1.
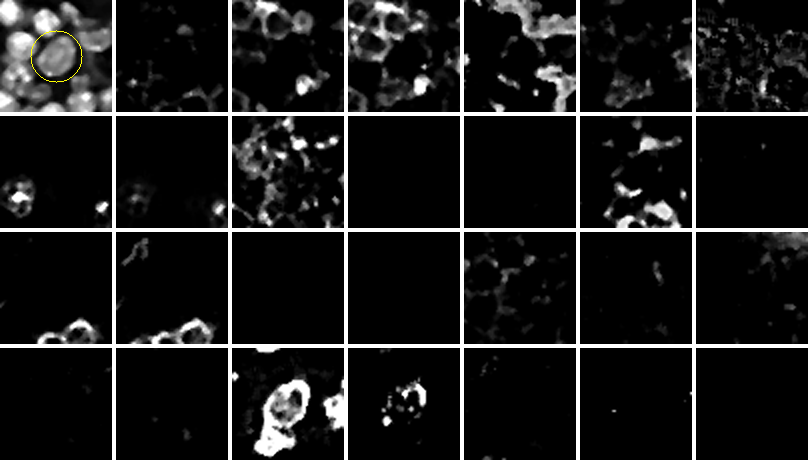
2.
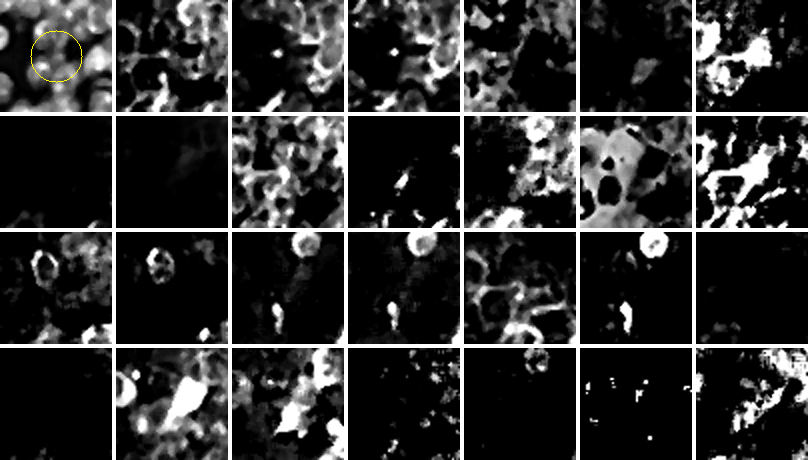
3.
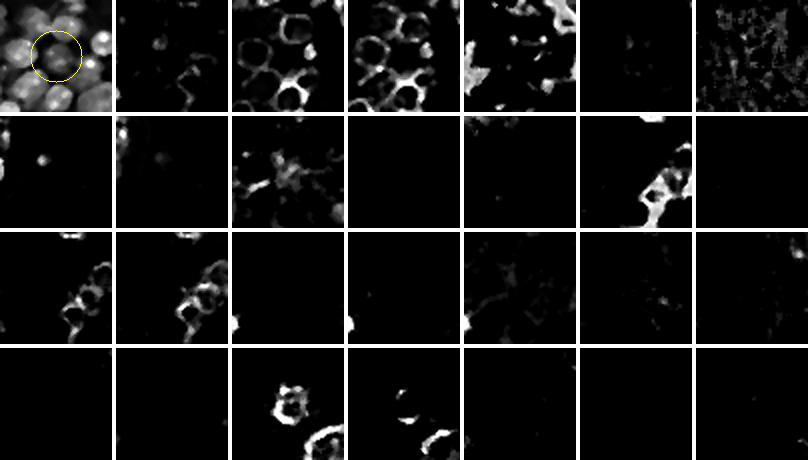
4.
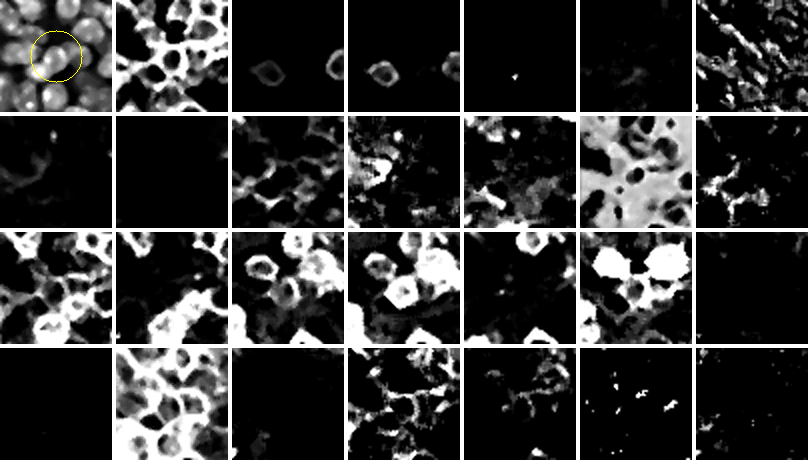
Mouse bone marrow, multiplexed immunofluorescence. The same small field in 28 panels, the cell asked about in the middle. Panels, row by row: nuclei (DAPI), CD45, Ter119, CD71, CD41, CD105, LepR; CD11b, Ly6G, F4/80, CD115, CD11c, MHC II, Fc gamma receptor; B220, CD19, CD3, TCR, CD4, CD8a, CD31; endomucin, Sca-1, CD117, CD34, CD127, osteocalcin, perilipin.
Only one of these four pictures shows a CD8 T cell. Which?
Picture 4.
